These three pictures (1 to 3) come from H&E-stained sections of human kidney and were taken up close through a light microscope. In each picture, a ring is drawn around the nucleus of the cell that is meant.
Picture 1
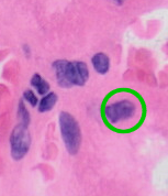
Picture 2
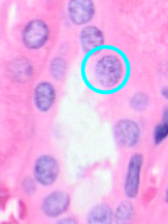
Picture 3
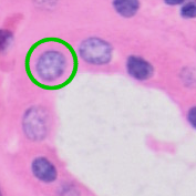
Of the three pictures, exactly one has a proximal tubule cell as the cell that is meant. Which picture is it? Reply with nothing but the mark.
1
